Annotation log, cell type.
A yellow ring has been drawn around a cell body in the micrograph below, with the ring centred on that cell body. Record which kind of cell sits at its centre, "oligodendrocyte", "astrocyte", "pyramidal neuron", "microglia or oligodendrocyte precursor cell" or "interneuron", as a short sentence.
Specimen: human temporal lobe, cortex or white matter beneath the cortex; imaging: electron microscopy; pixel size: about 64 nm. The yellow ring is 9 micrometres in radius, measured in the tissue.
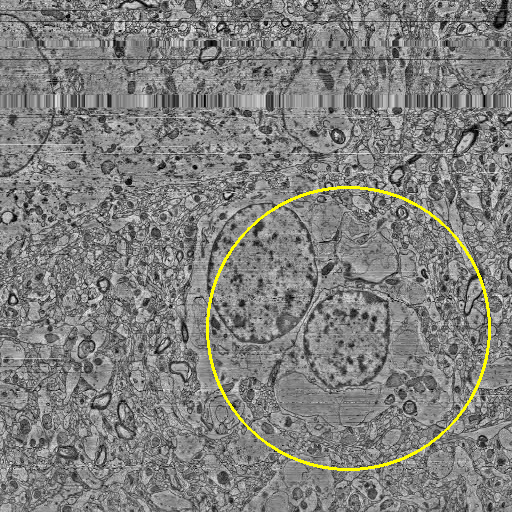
The cell at the centre of this ring is an astrocyte.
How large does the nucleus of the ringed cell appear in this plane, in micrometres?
The nucleus works out at approximately 7 by 6 micrometres in this plane.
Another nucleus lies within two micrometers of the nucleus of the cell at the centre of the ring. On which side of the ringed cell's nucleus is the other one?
The other nucleus is positioned to the left of it.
